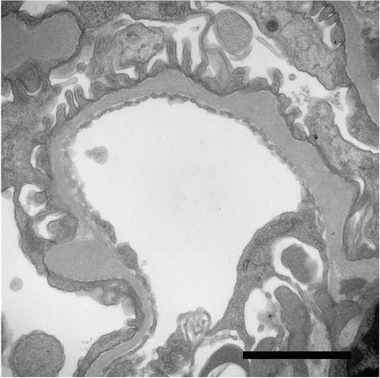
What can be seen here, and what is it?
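A glomerular capillary loop with a pale lumen is bounded by a broad, irregular grey basement membrane, much thicker than usual. Podocyte foot processes on its outer surface are fewer and unevenly spaced, with stretches where they appear widened or lacking.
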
